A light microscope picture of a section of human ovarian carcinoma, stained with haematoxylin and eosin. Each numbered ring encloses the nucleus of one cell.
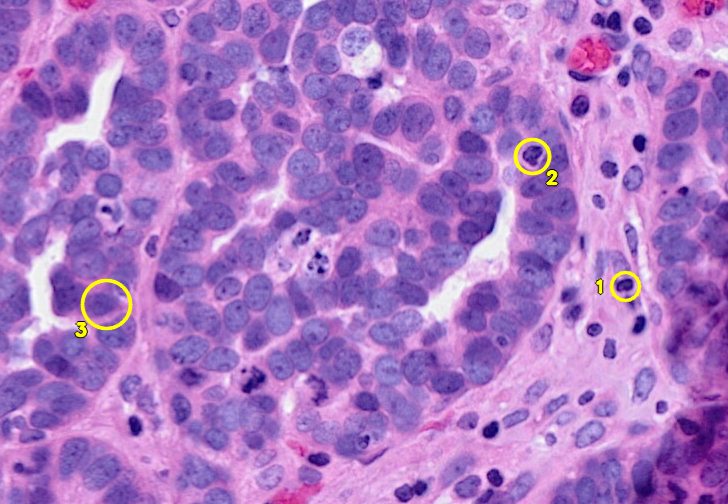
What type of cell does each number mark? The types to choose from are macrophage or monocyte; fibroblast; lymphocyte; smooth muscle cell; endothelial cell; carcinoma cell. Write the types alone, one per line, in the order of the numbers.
lymphocyte
lymphocyte
carcinoma cell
